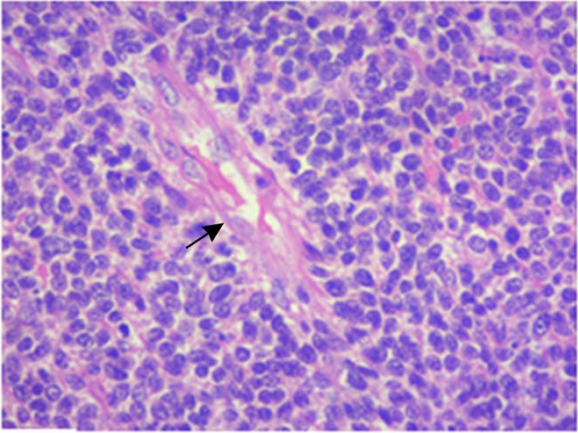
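This is a tumour made of sheets of small, closely packed cells arranged around a blood vessel. The tumour cells have round to oval, darkly purple nuclei with little visible cytoplasm, so that the nuclei almost touch each other. Running diagonally through the field is a thin pink band of vessel wall with a narrow clear lumen and a few elongated nuclei. The tumour cells crowd directly up against this vessel on both sides. A few pink strands run between the cell sheets elsewhere in the field.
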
